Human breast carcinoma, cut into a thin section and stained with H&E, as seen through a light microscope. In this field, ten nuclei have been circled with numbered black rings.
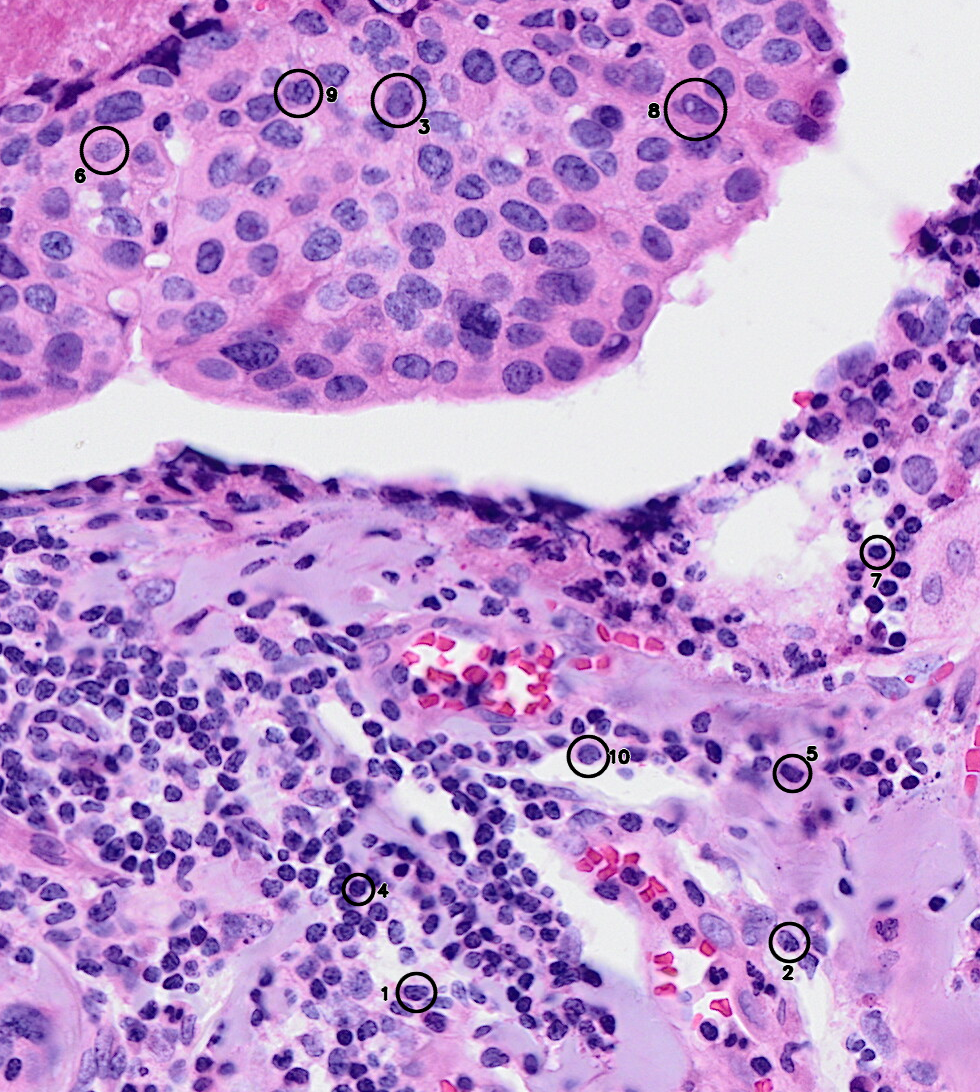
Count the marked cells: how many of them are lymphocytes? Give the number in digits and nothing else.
6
